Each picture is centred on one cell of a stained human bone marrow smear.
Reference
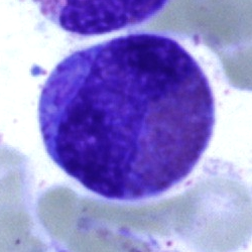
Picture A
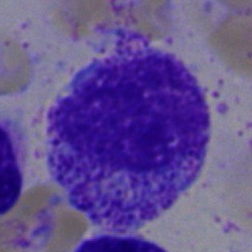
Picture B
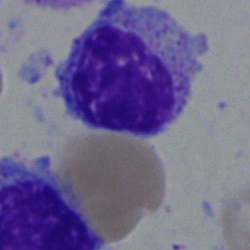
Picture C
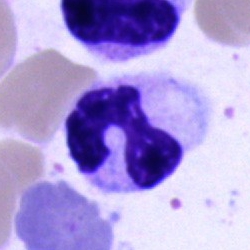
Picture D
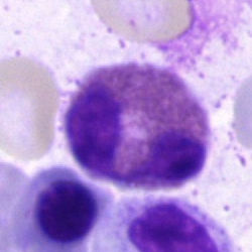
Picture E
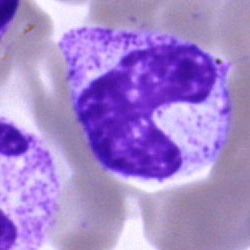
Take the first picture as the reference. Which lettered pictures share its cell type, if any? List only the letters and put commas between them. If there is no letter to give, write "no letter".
D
